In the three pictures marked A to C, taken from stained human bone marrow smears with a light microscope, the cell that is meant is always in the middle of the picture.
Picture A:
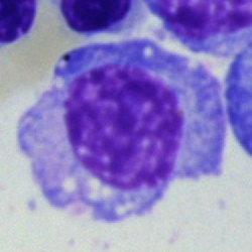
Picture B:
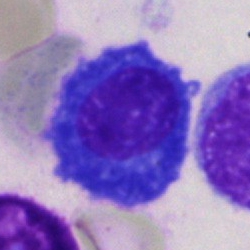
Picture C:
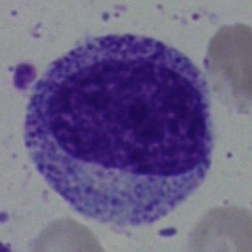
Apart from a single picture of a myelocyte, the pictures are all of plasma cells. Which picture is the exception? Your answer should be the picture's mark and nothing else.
C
